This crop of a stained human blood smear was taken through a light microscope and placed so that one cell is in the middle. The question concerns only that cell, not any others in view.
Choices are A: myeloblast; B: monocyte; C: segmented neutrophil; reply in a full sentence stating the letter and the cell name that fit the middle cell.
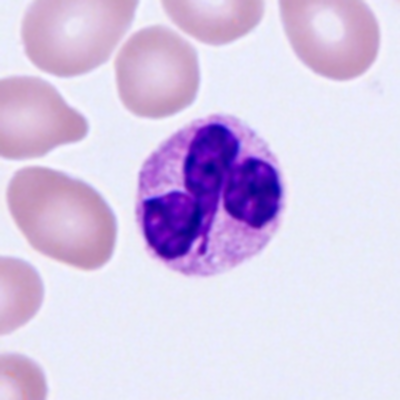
The correct response is option C, naming the cell in the middle as a segmented neutrophil.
